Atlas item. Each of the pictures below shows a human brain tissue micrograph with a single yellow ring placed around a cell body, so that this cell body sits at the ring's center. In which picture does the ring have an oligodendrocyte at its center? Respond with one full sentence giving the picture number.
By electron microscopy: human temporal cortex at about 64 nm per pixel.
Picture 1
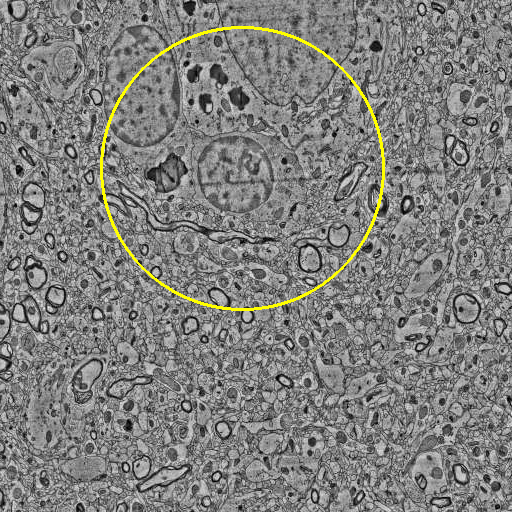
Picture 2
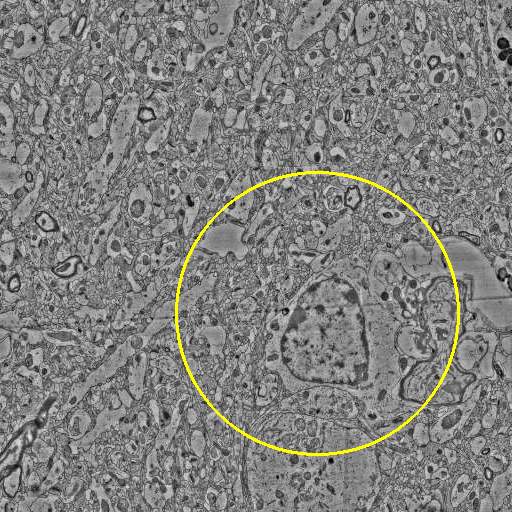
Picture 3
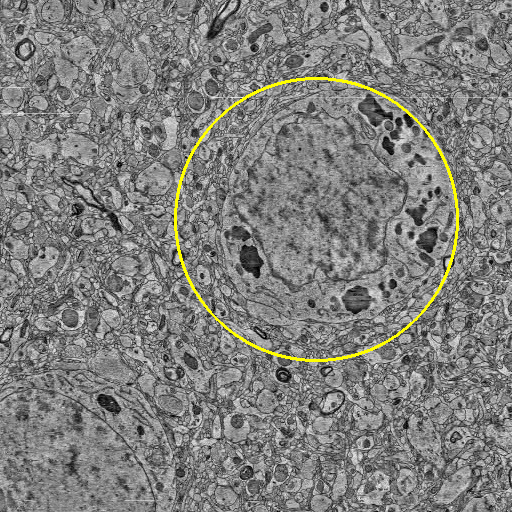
The cell at the ring's center that fits lies in picture 1.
